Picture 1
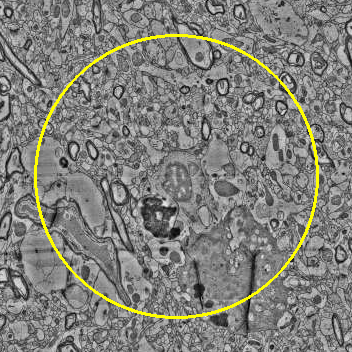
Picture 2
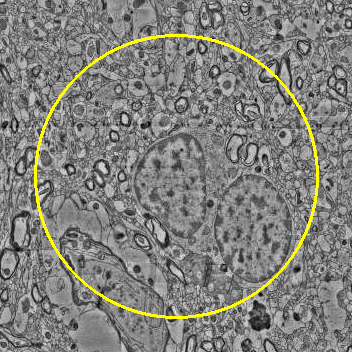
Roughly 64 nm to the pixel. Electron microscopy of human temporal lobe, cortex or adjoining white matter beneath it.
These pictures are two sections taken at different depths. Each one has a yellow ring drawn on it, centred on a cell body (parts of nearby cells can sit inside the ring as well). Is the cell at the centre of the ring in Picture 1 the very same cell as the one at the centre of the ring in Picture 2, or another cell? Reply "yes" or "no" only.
yes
